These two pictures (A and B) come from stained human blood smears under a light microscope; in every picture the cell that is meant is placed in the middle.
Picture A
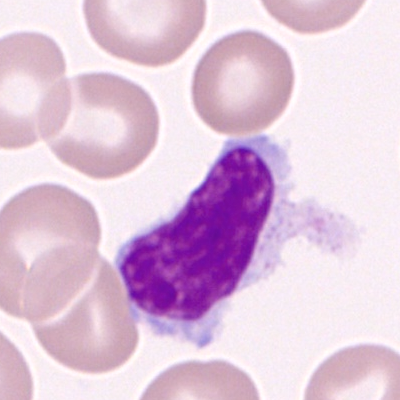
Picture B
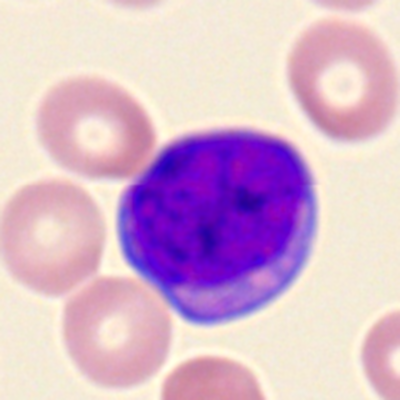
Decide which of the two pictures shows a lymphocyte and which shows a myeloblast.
A: lymphocyte
B: myeloblast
